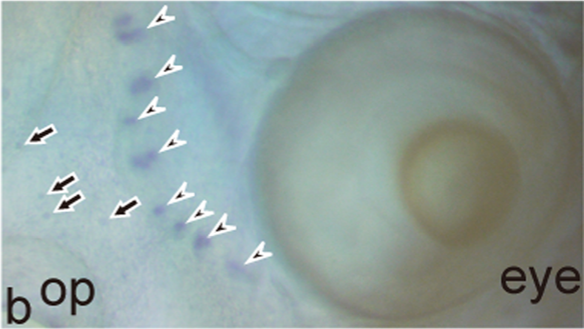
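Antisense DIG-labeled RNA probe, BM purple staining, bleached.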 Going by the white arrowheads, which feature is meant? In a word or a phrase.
Lateral lines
